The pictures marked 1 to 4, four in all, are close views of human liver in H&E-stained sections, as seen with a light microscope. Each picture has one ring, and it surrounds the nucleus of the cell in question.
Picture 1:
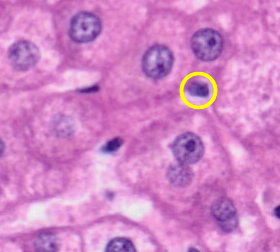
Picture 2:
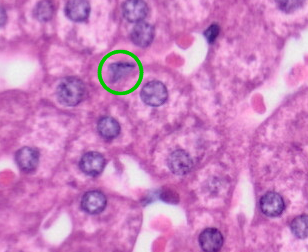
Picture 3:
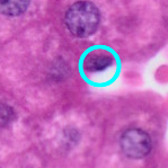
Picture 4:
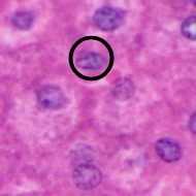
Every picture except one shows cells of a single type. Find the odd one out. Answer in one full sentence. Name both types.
Picture 4 differs, because its cell is a Kupffer cell and the rest are endothelial cells.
